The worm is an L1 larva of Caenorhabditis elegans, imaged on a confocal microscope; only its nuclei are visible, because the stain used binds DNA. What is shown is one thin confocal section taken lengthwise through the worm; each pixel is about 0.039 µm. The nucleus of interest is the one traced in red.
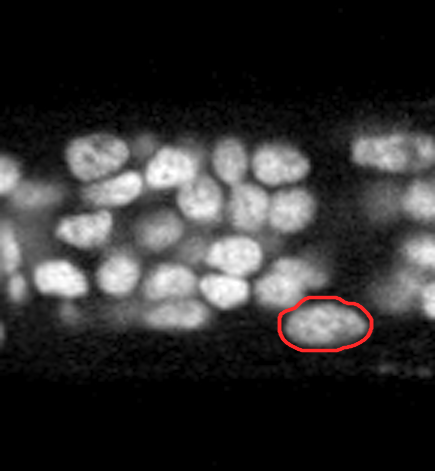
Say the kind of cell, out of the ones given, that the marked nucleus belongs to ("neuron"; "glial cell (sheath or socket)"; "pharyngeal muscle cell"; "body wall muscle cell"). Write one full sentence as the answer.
The nucleus comes from a body wall muscle cell.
